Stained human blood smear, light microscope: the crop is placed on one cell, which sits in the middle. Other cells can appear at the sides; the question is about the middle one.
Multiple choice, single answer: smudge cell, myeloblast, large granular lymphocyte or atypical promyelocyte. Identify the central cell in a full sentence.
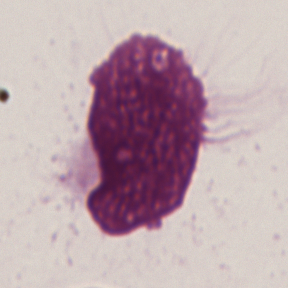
Centred in the crop is a smudge cell.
